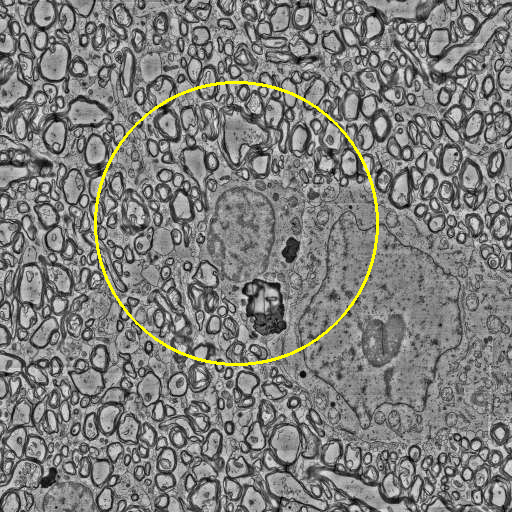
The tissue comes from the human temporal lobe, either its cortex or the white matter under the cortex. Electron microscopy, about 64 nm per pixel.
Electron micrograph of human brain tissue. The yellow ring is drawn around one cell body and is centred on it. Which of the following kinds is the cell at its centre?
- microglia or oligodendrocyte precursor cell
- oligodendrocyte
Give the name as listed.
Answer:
oligodendrocyte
